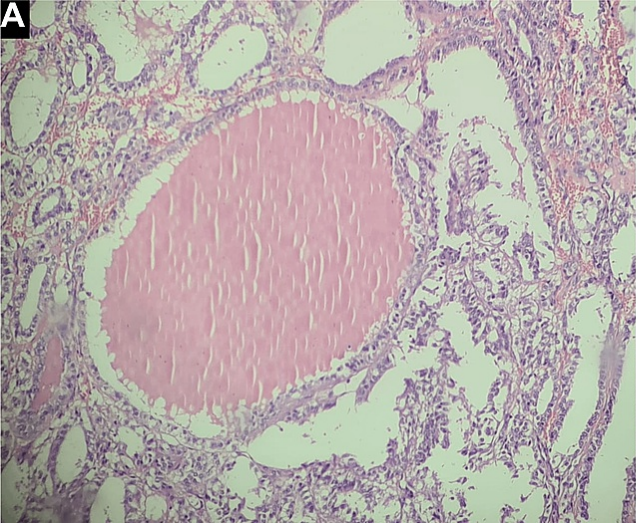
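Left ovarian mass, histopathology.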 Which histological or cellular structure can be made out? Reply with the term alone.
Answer: large thyroid follicle filled with colloid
